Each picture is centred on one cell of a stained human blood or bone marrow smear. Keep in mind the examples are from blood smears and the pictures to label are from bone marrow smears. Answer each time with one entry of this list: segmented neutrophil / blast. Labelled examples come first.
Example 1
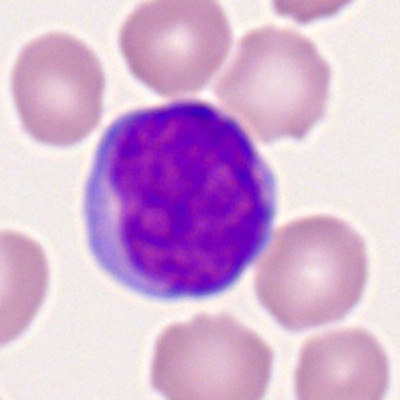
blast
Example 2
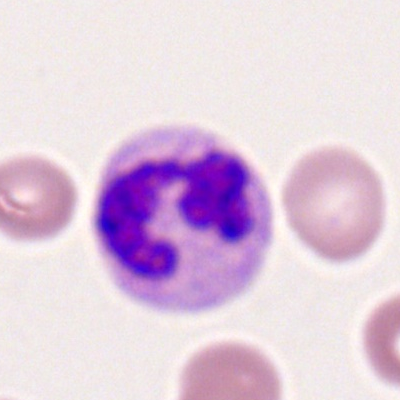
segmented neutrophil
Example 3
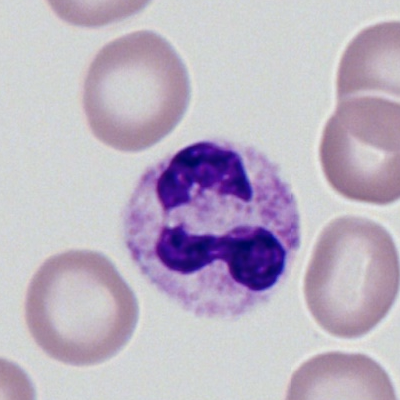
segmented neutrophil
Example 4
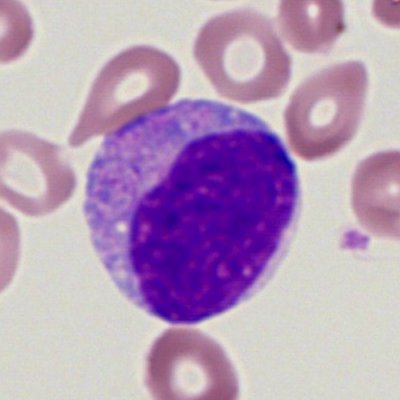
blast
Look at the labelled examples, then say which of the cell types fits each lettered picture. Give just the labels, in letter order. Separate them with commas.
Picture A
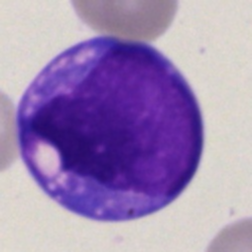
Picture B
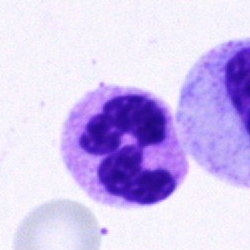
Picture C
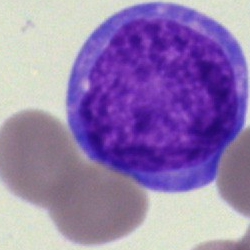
blast, segmented neutrophil, blast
